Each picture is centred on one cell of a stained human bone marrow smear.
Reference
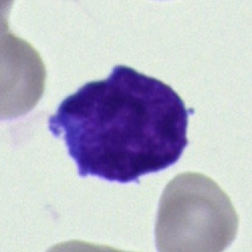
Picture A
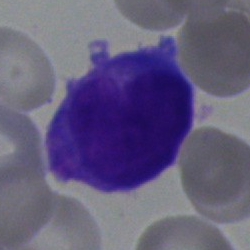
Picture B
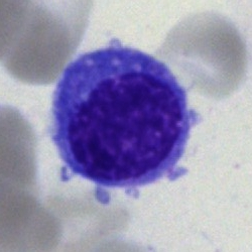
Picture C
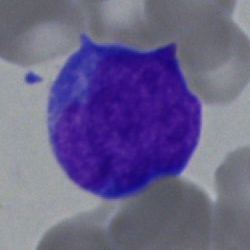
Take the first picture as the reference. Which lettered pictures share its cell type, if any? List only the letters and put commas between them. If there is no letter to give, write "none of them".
A, B, C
